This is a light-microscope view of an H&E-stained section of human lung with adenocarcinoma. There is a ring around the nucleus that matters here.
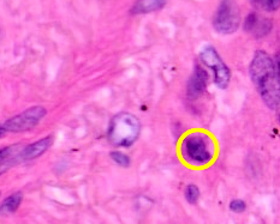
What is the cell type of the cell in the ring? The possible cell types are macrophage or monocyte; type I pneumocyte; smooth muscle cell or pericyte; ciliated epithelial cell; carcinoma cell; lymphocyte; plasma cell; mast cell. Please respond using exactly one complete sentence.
In this field of tissue, the cell in the ring is a plasma cell.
